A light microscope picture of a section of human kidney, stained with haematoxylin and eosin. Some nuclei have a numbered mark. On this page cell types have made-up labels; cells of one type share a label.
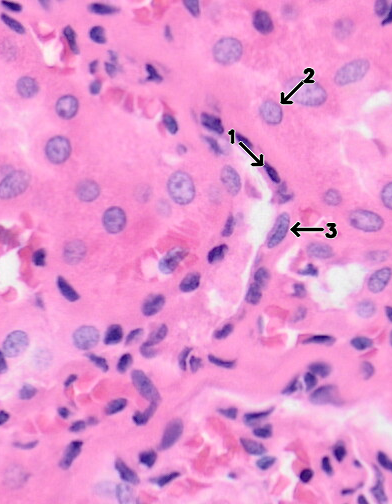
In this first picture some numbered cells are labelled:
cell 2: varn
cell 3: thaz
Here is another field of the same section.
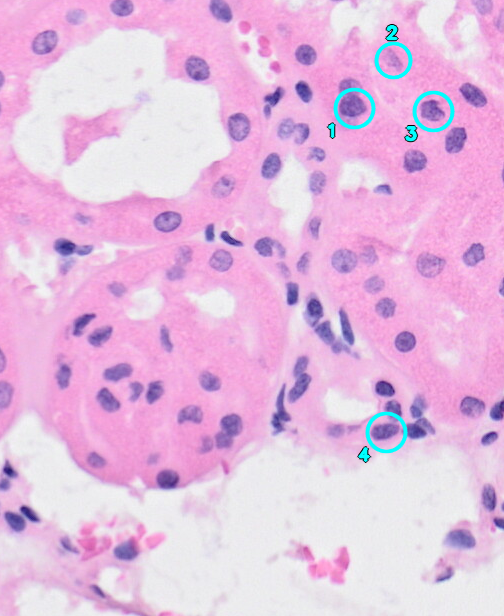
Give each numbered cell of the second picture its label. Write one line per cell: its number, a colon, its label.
1: varn
2: varn
3: varn
4: thaz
